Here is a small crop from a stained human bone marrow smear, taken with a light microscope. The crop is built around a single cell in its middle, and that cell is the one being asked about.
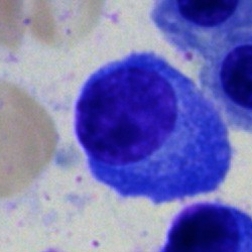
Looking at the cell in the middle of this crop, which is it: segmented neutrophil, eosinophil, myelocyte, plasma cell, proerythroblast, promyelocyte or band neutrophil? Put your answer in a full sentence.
The crop's centre is taken up by a plasma cell.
